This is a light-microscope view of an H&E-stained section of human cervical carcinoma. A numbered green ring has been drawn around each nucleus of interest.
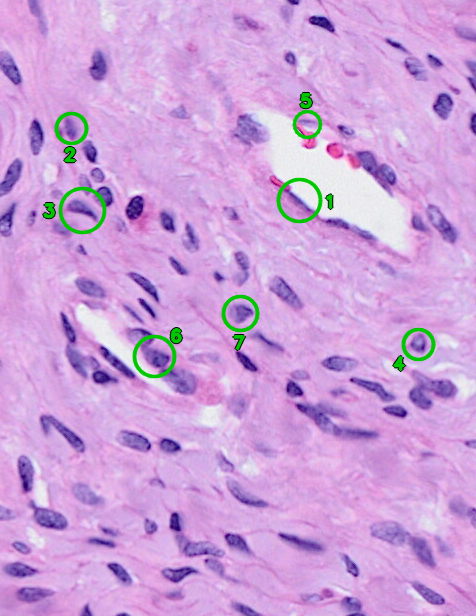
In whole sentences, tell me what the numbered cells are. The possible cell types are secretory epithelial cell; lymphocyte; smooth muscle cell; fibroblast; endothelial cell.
Cells 1, 5 and 6 are endothelial cells. Cells 2, 3 and 7 are fibroblasts. Cell 4 is a smooth muscle cell.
